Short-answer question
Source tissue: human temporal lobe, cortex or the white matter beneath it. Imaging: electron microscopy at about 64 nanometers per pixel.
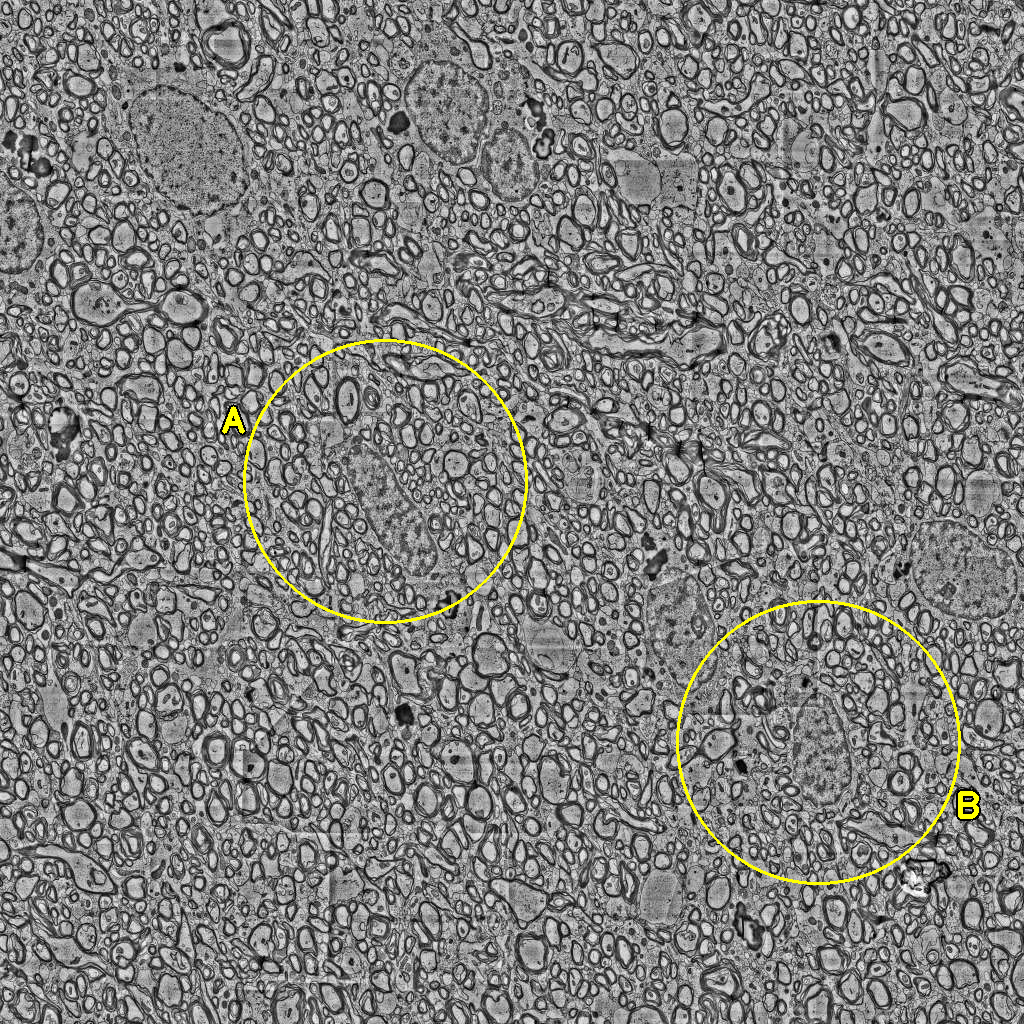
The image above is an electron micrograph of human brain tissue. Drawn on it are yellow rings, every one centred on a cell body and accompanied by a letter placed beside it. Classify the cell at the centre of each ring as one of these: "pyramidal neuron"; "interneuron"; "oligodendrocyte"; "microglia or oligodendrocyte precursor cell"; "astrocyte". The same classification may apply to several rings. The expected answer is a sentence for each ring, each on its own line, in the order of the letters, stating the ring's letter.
The cell at ring A is classified as an oligodendrocyte.
The cell at ring B is classified as an oligodendrocyte.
